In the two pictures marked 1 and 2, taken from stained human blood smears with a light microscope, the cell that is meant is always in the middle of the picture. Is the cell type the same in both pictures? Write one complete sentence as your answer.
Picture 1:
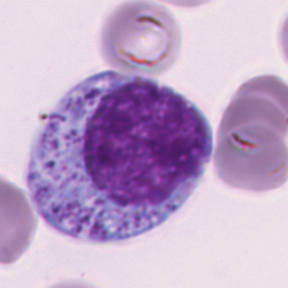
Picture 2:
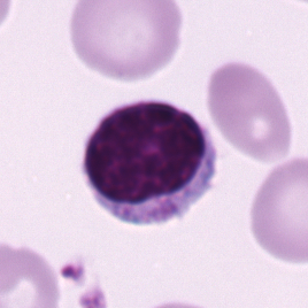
No; the cell in picture 1 is a myelocyte, while the one in picture 2 is a large granular lymphocyte.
